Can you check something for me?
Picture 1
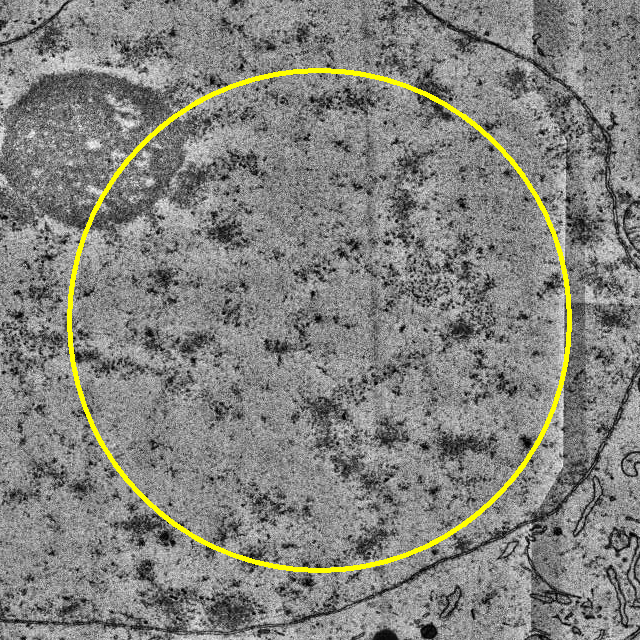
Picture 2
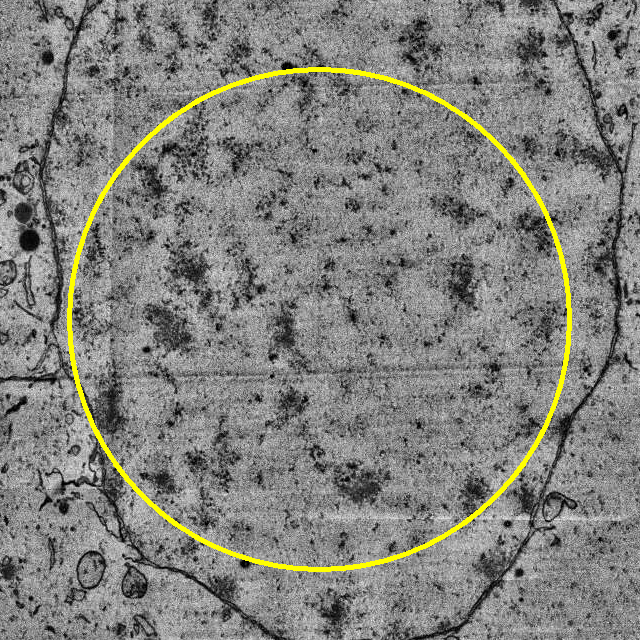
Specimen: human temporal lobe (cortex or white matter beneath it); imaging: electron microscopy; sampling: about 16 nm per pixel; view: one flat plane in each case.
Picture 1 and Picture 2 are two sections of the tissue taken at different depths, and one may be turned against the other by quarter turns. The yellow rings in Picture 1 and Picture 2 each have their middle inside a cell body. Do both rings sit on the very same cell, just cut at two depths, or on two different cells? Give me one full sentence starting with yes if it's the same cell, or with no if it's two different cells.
Yes, the same individual cell is enclosed by both rings.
